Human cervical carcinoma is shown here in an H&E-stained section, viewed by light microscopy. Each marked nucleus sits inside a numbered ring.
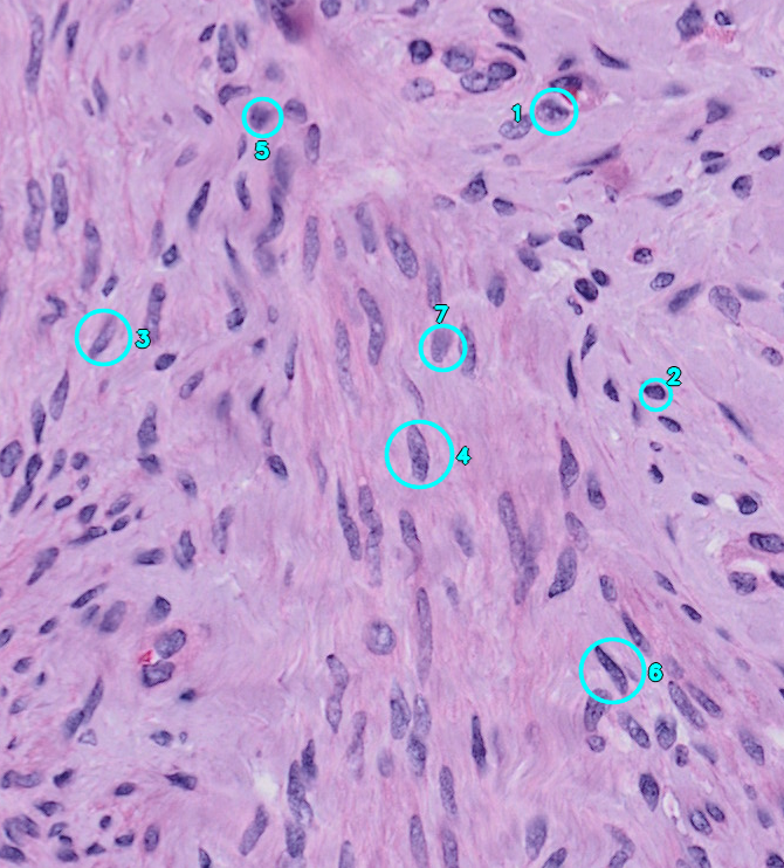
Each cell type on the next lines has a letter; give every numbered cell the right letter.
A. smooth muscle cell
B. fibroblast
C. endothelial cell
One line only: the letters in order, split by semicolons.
C; B; A; B; B; B; A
